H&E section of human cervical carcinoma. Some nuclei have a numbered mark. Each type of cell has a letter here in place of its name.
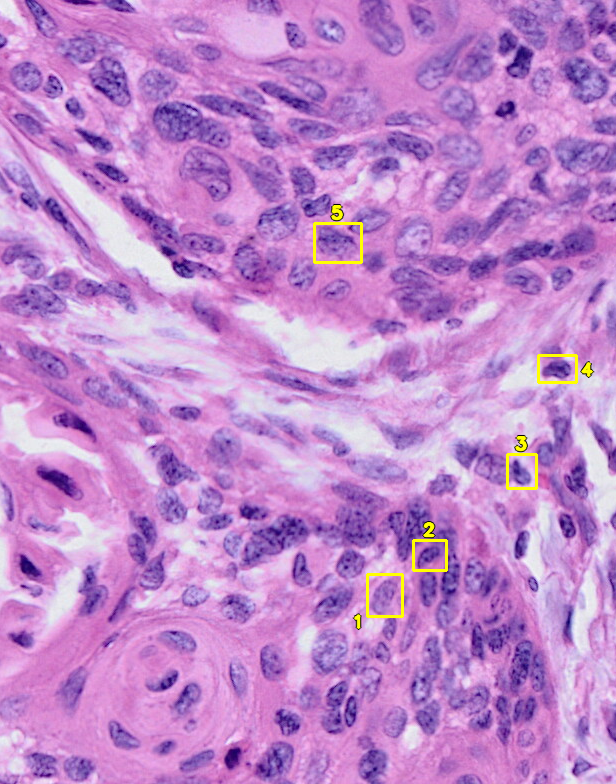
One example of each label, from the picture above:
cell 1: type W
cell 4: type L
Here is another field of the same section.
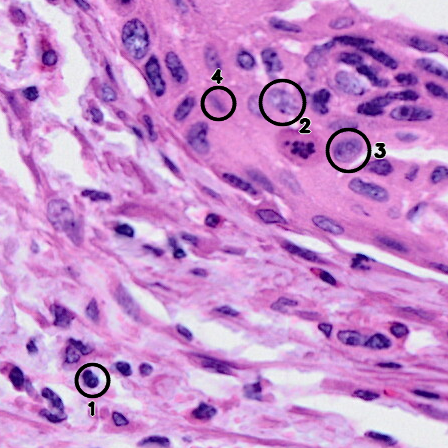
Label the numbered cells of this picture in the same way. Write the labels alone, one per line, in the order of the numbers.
type L
type W
type W
type W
